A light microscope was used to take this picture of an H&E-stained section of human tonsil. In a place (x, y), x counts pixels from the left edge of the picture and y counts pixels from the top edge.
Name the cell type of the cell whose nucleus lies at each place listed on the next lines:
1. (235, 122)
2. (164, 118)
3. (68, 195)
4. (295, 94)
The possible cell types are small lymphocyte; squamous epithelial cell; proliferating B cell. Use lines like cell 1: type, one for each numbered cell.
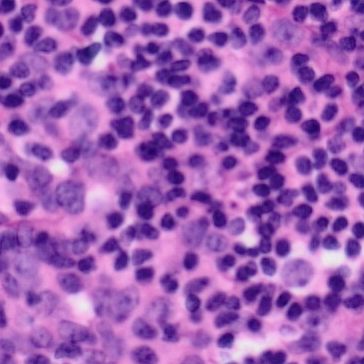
cell 1: small lymphocyte
cell 2: small lymphocyte
cell 3: proliferating B cell
cell 4: small lymphocyte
